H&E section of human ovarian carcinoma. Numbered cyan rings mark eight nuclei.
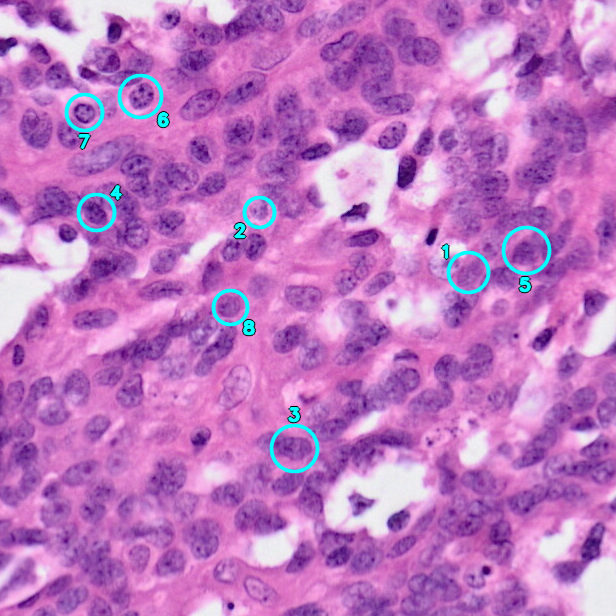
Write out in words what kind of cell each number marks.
Cells 1, 3, 4, 5 and 8 are carcinoma cells. Cells 2, 6 and 7 are macrophages or monocytes.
